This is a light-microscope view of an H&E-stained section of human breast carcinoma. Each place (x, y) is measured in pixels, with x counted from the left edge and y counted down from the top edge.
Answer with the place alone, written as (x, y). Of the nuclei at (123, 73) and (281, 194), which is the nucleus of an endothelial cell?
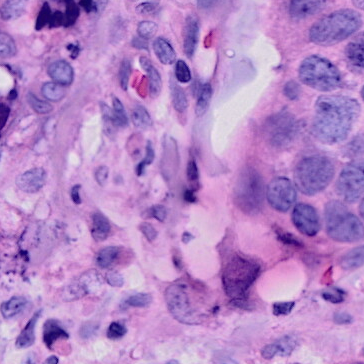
(123, 73)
